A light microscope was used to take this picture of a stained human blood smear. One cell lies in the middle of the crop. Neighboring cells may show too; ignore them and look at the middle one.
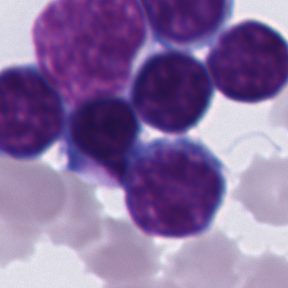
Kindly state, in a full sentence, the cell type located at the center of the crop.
The centered cell in this crop is a myeloblast.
